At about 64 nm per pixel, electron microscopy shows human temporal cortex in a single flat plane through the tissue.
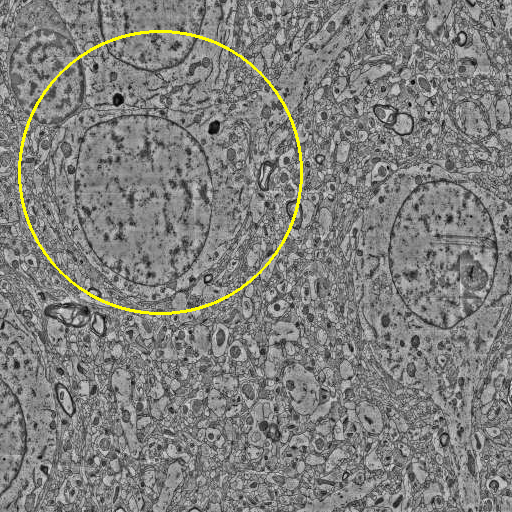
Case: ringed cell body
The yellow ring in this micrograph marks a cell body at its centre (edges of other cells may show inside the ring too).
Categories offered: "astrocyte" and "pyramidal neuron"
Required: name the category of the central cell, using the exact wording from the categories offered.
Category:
pyramidal neuron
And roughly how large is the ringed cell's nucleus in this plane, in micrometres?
In this plane, the nucleus is roughly 11 by 9 micrometres.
